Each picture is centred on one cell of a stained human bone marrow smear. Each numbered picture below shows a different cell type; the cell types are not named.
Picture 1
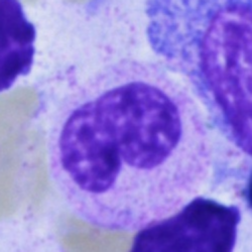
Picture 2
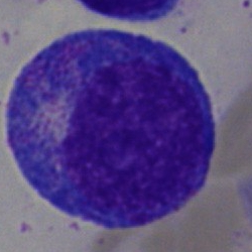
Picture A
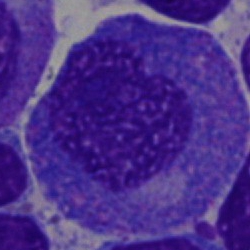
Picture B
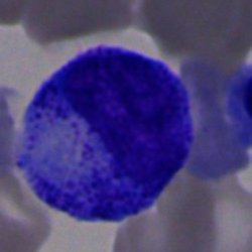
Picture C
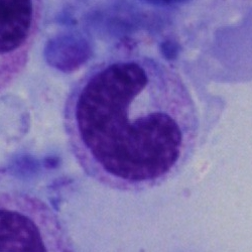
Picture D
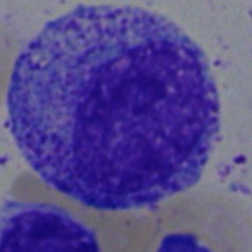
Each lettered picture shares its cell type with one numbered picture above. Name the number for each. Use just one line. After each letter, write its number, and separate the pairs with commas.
A 2, B 2, C 1, D 2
